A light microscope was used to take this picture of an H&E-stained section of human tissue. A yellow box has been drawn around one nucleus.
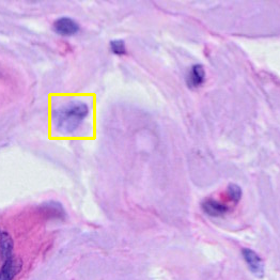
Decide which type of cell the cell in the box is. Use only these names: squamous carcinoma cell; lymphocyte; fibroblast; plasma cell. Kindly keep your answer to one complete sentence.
Cytologically, the cell in the box is to be regarded as a fibroblast.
